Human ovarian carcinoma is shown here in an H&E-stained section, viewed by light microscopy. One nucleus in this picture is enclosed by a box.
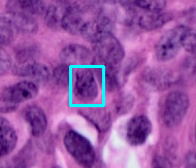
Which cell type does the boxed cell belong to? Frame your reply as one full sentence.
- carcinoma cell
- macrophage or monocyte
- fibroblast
Cell type answer for this item: the boxed cell is a macrophage or monocyte.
